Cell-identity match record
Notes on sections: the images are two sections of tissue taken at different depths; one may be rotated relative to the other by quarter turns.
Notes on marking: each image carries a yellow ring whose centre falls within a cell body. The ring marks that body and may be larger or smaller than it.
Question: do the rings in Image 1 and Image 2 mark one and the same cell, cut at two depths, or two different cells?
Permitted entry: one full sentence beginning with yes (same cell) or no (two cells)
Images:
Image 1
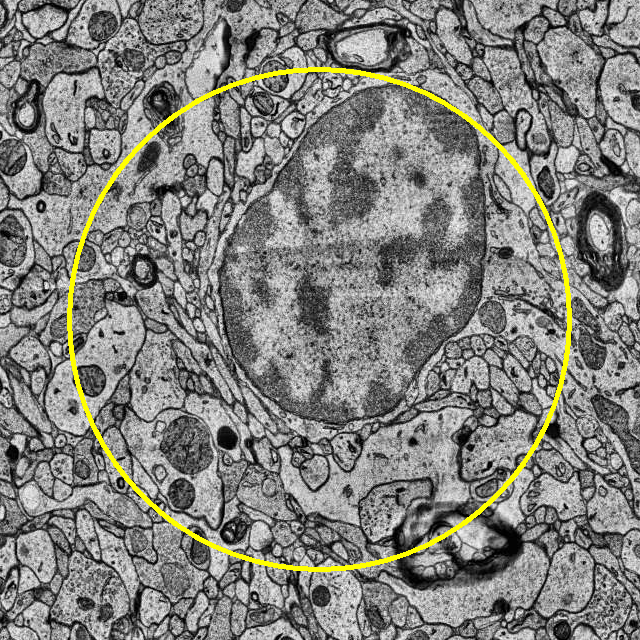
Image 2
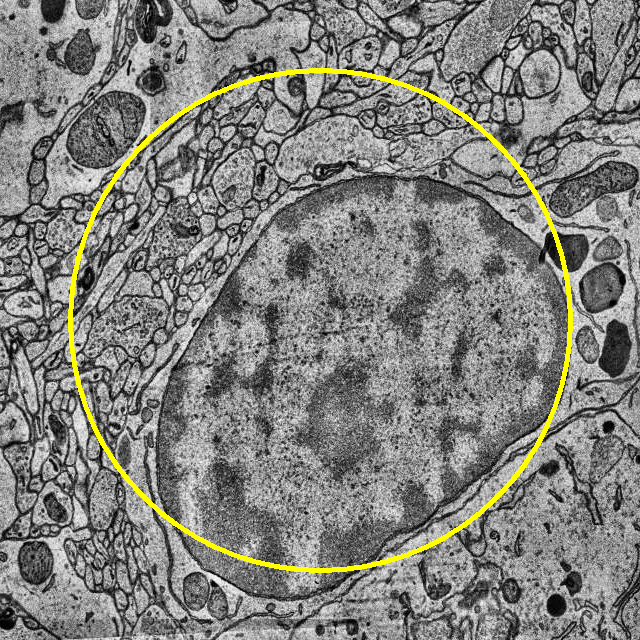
No, the yellow rings mark two separate cells, not one.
